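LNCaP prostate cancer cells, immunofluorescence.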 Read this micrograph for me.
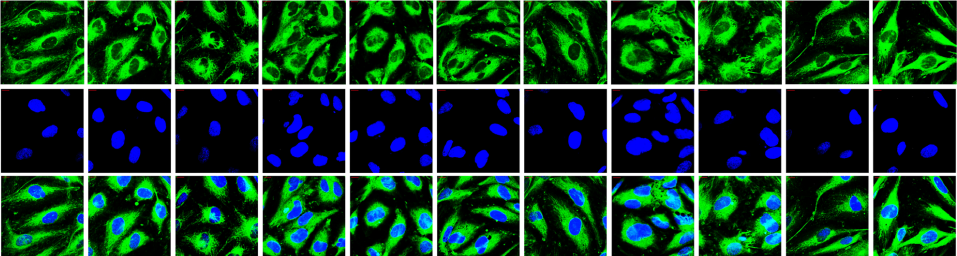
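The top row shows the green-stained filaments, the middle row shows blue nuclei, and the bottom row shows the two overlaid. The cells are spread flat and polygonal to elongated, each with one oval blue nucleus. Green fills the cytoplasm, and some cells extend thin green processes toward their neighbours.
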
